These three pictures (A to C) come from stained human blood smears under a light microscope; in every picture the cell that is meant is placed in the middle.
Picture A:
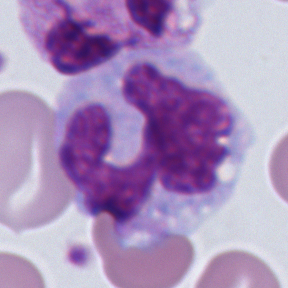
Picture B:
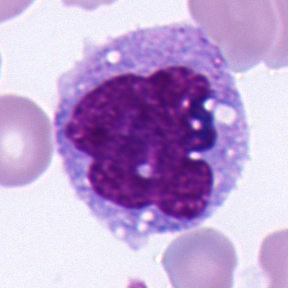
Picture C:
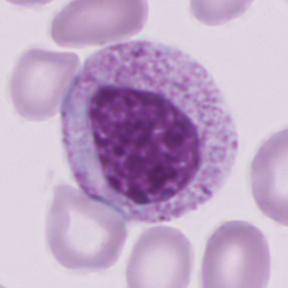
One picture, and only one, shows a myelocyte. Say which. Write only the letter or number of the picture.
C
